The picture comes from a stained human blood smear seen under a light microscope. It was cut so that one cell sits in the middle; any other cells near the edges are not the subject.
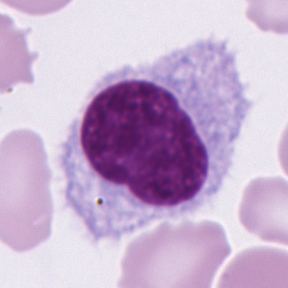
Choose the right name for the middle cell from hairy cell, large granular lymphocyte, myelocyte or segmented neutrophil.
hairy cell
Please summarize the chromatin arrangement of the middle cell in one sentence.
Answer: the chromatin is fine and has no coarse clumps.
